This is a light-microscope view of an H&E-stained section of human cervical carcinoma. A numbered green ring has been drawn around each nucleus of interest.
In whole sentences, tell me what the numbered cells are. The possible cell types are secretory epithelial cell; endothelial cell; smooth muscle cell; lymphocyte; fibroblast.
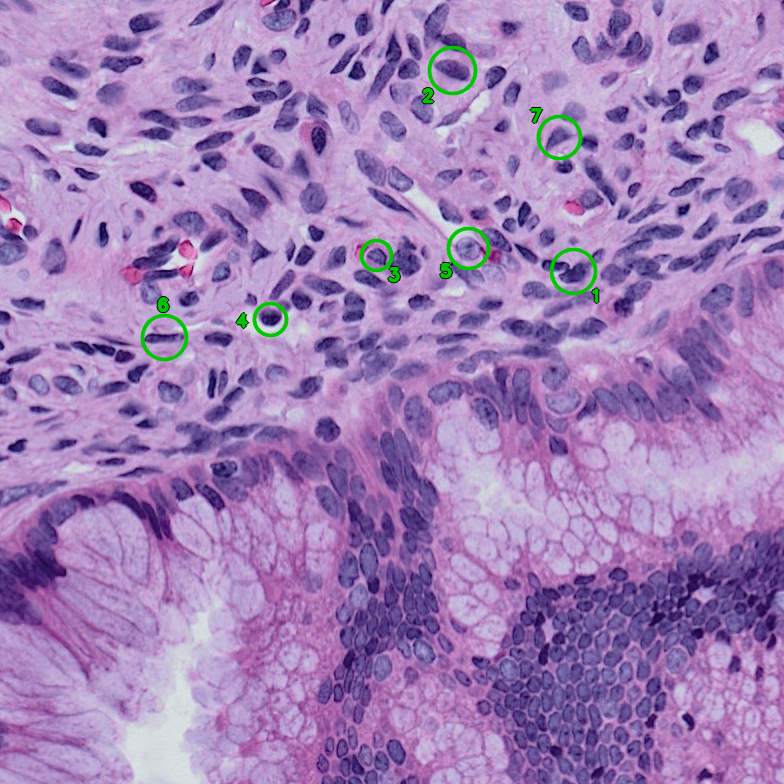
Cells 1, 2, 6 and 7 are fibroblasts. Cells 3 and 5 are endothelial cells. Cell 4 is a lymphocyte.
